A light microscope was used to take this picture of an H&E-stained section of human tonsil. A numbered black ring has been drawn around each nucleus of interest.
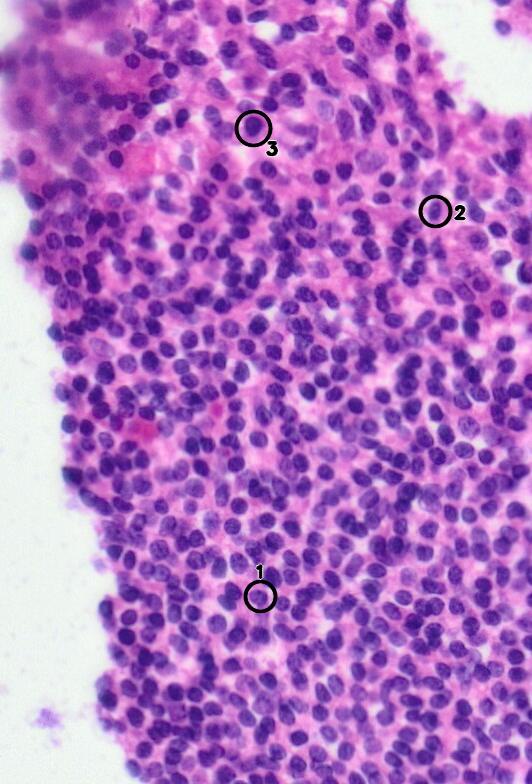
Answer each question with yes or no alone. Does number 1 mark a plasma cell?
no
